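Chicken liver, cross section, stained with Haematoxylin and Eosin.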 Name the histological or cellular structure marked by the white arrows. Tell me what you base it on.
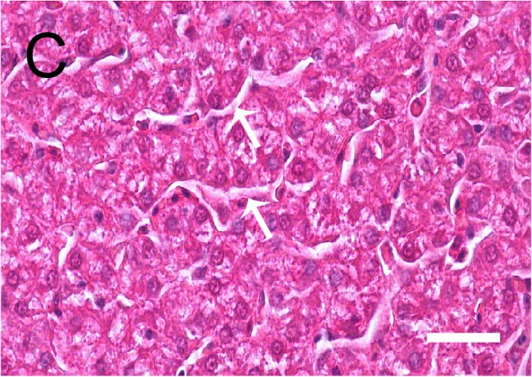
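The arrows point to pale, narrow branching clefts between plates of pink cells. The clefts run between cords of cells throughout the section. The answer: sinusoids.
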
